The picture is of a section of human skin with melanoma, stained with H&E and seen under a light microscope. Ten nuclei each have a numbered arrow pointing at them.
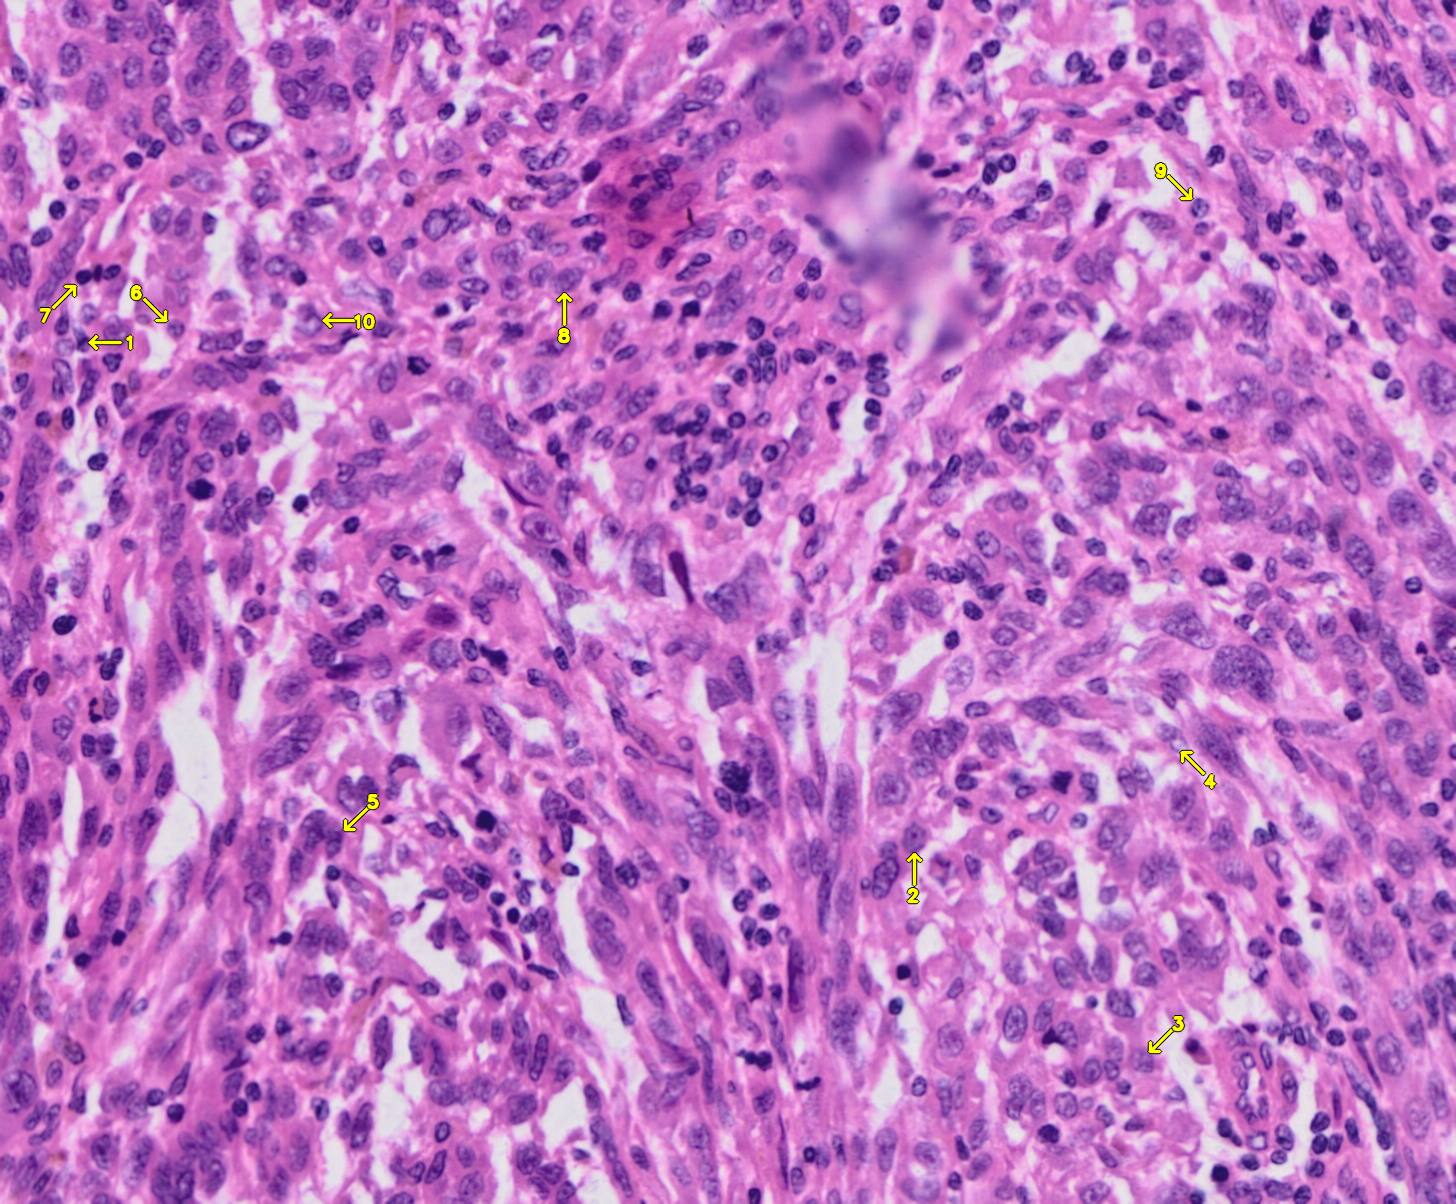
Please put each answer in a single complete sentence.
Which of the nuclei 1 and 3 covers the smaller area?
The smaller nucleus is 1, and 3 covers roughly 1.5 times its area.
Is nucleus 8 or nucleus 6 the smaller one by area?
The smaller nucleus is 6, and 8 covers roughly 2 times its area.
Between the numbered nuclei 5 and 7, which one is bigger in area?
Number 5 is larger; its area is about 2 times that of number 7.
